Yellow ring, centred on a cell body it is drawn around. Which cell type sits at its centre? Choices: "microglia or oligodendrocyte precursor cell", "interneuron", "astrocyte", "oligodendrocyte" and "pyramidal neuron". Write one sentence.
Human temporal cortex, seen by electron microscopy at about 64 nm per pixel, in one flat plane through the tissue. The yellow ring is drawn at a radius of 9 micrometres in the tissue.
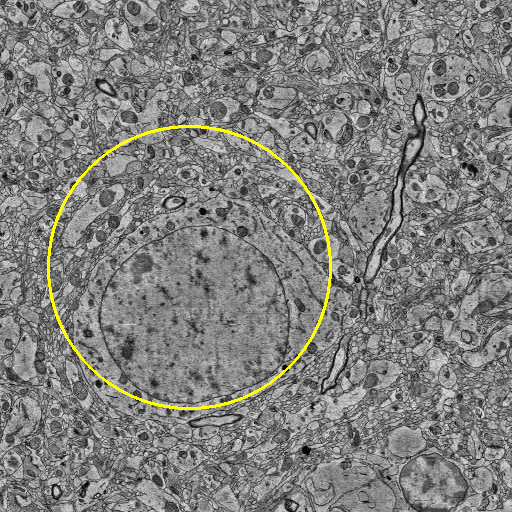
At the centre of the ring sits a pyramidal neuron.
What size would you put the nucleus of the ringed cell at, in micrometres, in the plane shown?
Roughly 12 micrometers across in this plane.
